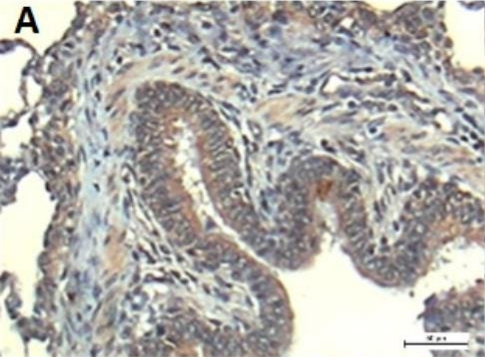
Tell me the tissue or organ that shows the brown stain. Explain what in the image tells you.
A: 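A folded layer of closely packed columnar cells lines an airway lumen. A brown tint lies within this cell layer. So: respiratory epithelium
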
